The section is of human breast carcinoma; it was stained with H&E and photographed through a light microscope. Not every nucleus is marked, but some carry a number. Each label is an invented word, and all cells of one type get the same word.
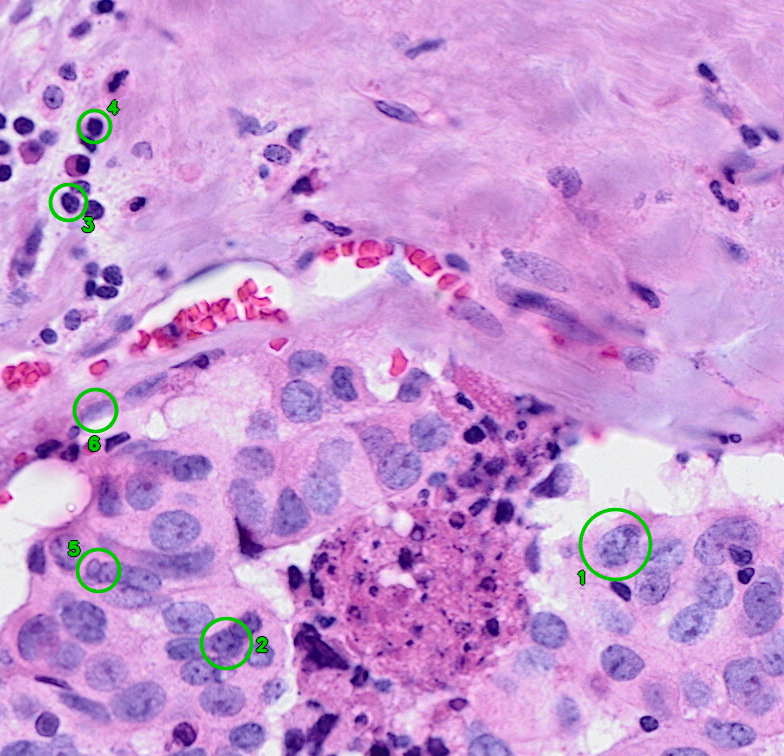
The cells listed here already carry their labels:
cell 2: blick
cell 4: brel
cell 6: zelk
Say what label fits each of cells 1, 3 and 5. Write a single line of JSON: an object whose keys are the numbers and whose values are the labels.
{"1": "blick", "3": "brel", "5": "blick"}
